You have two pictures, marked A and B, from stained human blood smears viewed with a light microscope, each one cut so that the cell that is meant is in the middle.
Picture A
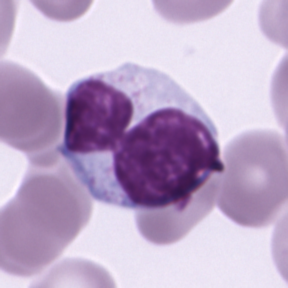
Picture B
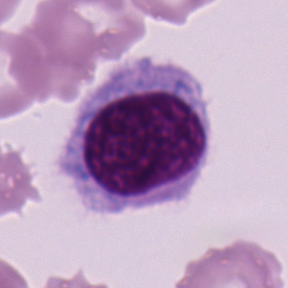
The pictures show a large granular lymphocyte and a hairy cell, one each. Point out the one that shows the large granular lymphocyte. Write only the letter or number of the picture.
A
